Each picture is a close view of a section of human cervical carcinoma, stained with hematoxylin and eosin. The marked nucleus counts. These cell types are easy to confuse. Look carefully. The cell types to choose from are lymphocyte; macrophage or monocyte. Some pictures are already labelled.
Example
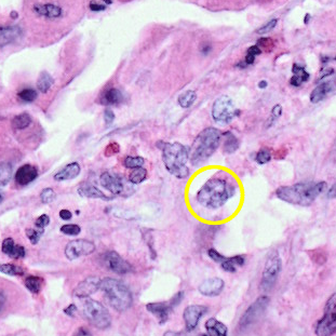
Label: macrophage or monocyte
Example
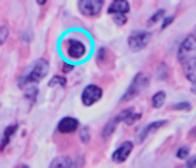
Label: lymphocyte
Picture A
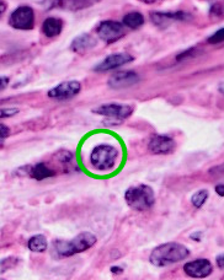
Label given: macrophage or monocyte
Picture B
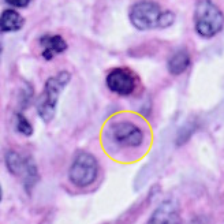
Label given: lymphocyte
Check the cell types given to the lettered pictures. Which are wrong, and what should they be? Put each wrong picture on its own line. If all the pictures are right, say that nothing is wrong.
A is labelled macrophage or monocyte; correct label: lymphocyte
B is labelled lymphocyte; correct label: macrophage or monocyte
